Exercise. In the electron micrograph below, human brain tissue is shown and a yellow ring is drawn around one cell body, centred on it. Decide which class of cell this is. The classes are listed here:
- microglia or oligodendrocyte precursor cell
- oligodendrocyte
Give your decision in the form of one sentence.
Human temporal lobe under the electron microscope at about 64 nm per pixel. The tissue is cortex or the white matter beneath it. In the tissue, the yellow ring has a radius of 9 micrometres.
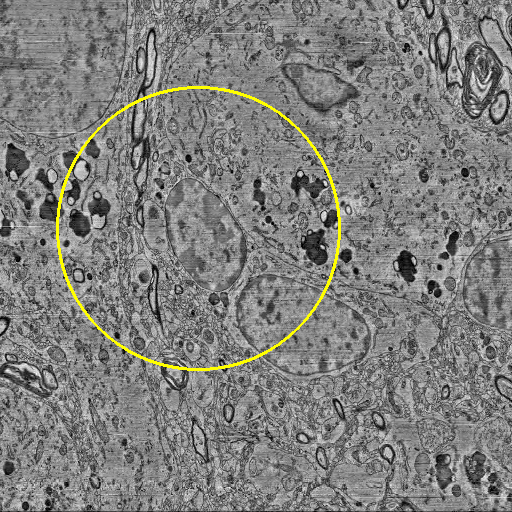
The cell body marked by the ring belongs to a microglial cell or oligodendrocyte precursor cell.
